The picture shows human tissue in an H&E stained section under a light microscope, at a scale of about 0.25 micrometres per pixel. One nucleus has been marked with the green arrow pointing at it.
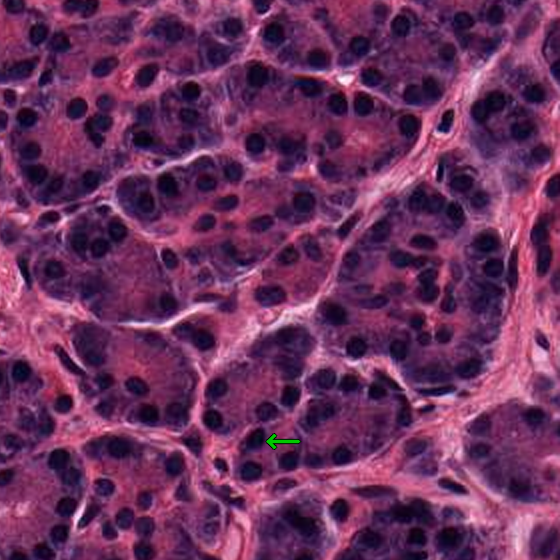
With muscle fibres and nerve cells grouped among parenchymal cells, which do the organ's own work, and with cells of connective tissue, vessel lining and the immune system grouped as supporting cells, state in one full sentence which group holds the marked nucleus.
The marked nucleus belongs to a cell of the parenchyma, namely a pancreatic acinar cell.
